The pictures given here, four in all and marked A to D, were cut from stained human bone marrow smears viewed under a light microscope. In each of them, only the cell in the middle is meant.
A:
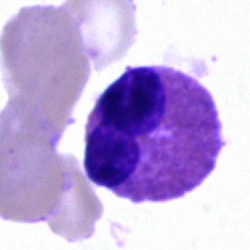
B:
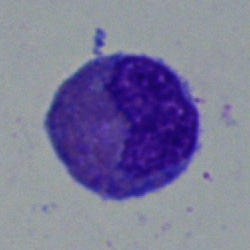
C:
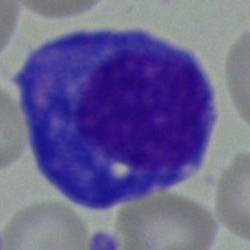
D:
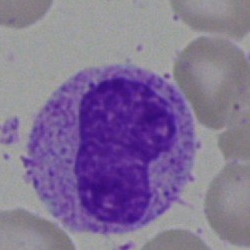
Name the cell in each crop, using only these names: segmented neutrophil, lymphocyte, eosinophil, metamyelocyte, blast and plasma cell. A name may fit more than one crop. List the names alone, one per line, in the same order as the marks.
eosinophil
eosinophil
plasma cell
metamyelocyte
